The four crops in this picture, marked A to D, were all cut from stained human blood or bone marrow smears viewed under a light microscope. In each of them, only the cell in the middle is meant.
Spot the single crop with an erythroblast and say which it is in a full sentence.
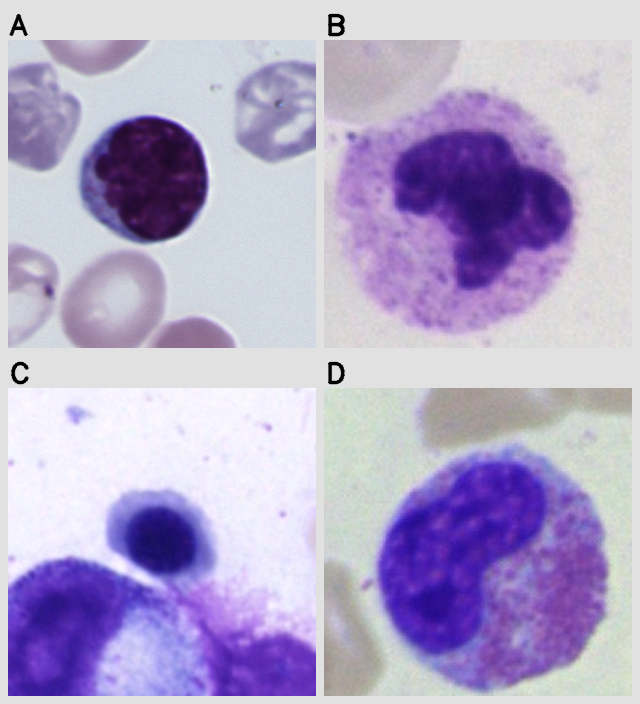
The crop in which an erythroblast is shown is crop C.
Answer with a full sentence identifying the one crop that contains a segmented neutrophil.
The crop bearing a segmented neutrophil is crop B.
